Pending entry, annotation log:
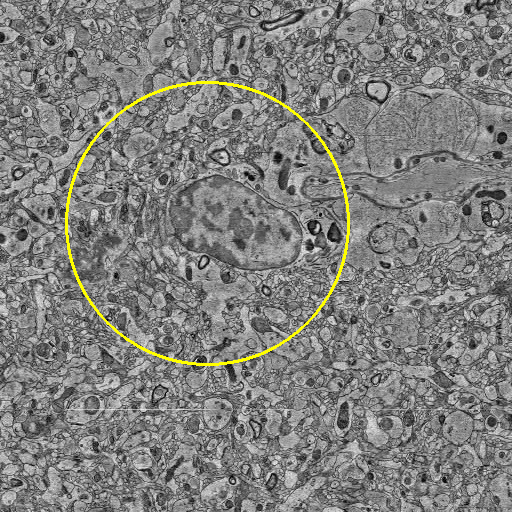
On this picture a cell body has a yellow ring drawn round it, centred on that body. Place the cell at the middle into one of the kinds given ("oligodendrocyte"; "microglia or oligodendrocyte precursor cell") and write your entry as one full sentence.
The cell body at the middle of the yellow ring belongs to a microglial cell or oligodendrocyte precursor cell.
